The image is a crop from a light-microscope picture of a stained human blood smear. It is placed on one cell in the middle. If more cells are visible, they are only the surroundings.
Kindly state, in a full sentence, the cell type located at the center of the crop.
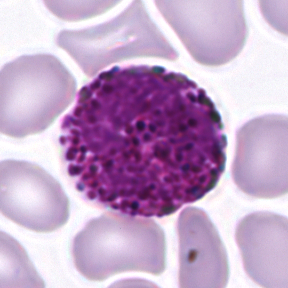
The target cell in the middle of the crop is a basophil.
